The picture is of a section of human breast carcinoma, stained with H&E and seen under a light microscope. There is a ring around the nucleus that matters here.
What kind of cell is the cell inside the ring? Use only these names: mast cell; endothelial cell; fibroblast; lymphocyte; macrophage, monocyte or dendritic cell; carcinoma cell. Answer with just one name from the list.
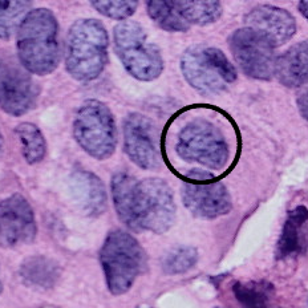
carcinoma cell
